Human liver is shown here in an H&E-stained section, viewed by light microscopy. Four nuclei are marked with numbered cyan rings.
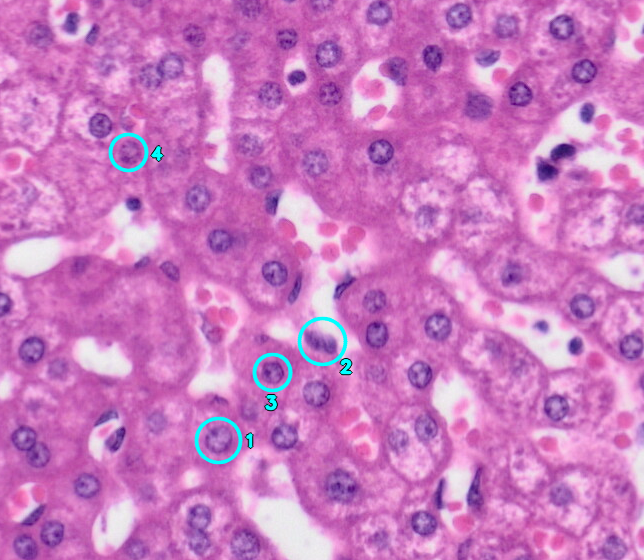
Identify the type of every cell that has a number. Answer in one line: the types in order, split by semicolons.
hepatocyte; Kupffer cell; hepatocyte; hepatocyte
